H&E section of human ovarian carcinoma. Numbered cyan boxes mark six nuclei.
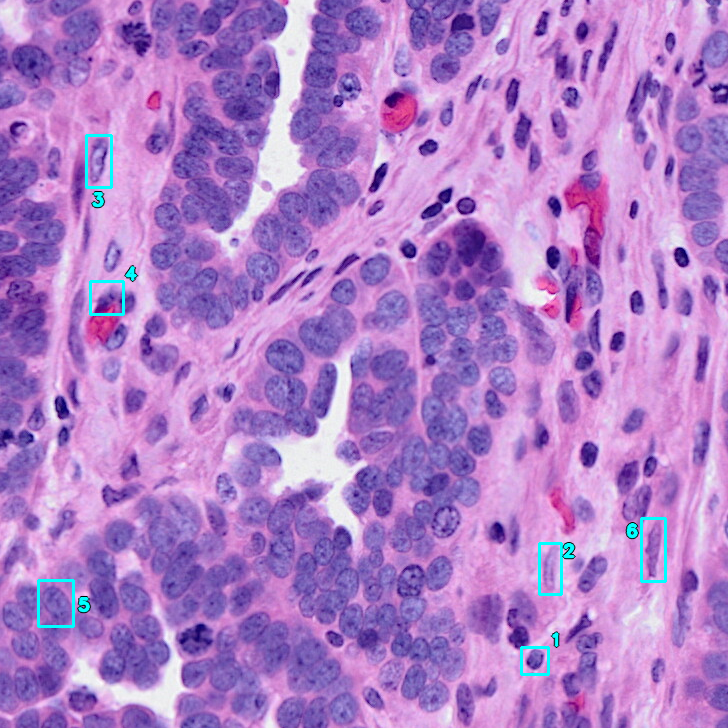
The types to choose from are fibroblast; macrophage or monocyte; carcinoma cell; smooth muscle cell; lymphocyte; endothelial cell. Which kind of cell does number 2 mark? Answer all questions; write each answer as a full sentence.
In the tissue shown, cell 2 is a fibroblast.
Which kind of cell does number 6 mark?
Here the cell numbered 6 is a fibroblast.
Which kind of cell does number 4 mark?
The nucleus labelled 4 belongs to an endothelial cell.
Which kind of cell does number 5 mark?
Cell 5, as marked in the section, is a carcinoma cell.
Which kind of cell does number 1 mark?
Regarding cell 1, this one is a lymphocyte.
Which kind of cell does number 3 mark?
The cell pointed out by number 3 is a fibroblast.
